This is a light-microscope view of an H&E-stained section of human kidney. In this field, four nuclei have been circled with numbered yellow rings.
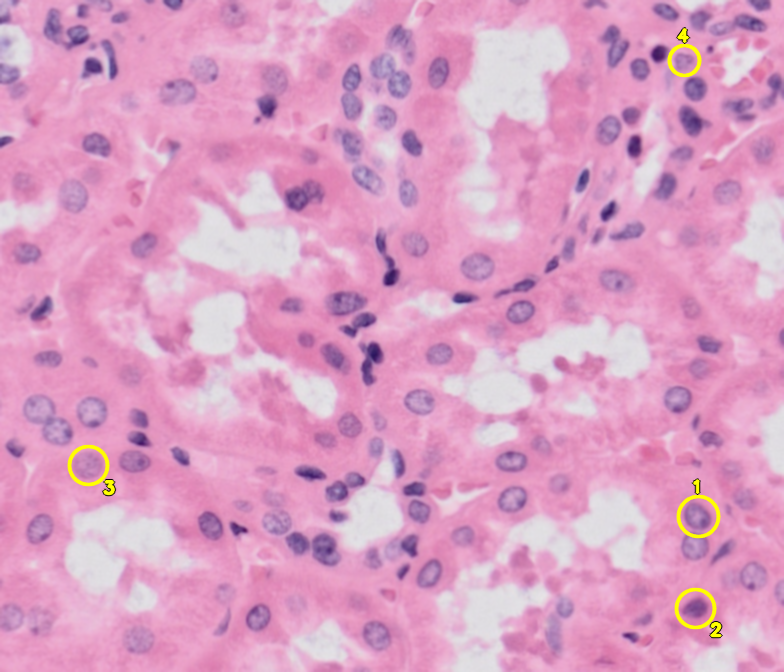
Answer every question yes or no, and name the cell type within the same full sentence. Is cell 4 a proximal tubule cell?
No, cell 4 is not a proximal tubule cell: it is a collecting duct cell.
